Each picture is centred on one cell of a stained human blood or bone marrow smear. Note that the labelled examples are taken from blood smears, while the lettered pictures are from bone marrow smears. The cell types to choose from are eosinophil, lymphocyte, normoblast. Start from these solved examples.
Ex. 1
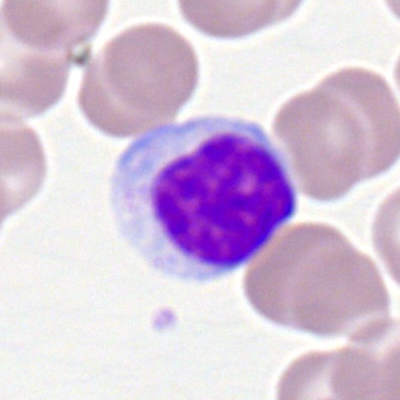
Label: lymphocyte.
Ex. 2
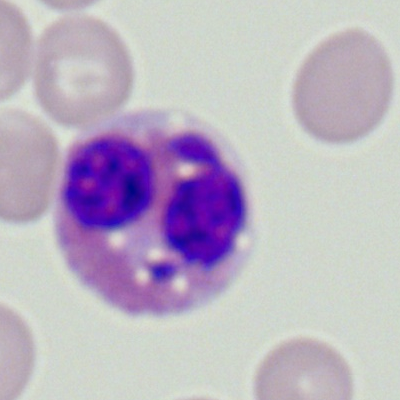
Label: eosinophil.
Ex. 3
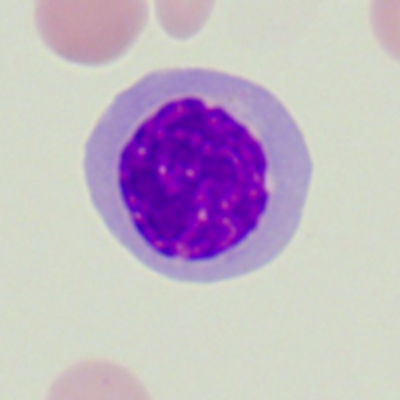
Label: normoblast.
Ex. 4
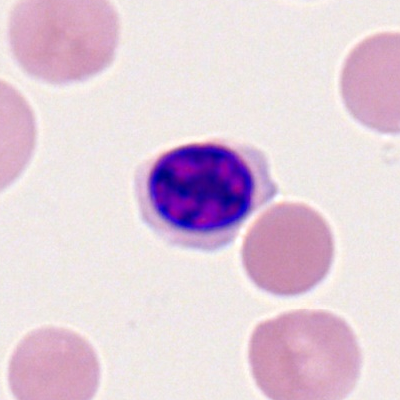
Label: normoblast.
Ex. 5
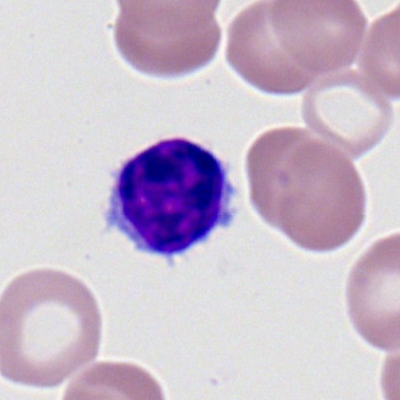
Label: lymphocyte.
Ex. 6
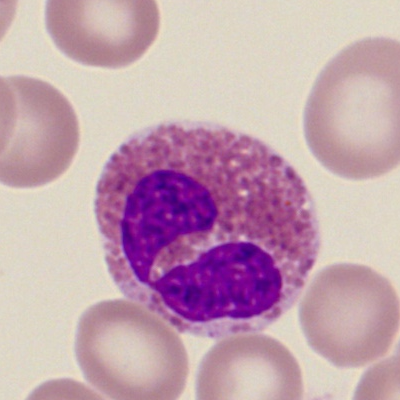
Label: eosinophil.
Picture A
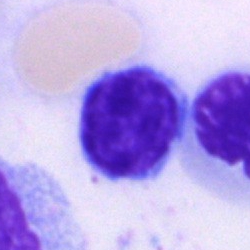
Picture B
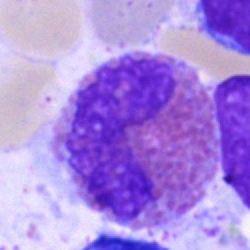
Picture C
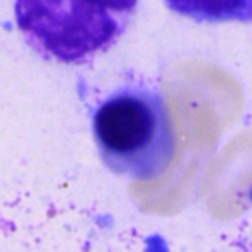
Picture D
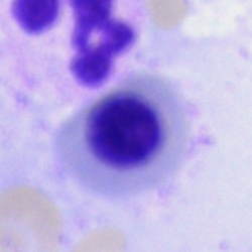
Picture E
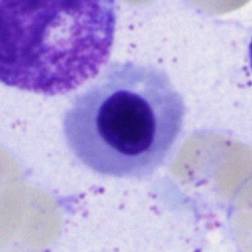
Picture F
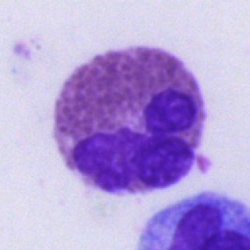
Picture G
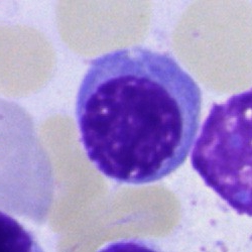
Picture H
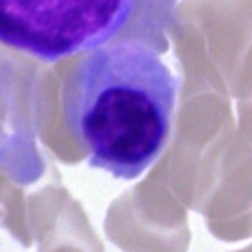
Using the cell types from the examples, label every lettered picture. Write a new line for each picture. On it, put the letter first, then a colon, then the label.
A: lymphocyte.
B: eosinophil.
C: normoblast.
D: normoblast.
E: normoblast.
F: eosinophil.
G: normoblast.
H: normoblast.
